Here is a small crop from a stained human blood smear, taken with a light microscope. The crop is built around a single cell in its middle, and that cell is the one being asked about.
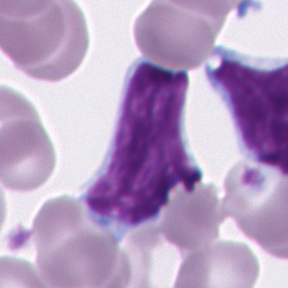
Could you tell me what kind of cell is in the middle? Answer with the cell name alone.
typical lymphocyte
